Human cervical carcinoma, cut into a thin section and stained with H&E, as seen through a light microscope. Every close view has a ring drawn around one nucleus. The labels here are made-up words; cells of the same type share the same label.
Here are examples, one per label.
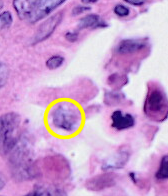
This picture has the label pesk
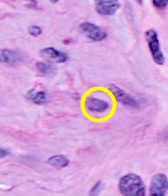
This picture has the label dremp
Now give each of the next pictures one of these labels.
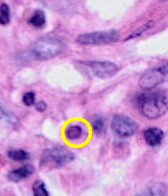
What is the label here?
pesk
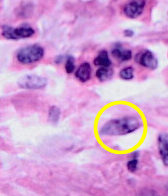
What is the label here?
pesk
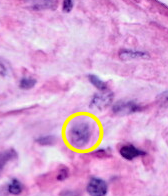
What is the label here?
pesk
